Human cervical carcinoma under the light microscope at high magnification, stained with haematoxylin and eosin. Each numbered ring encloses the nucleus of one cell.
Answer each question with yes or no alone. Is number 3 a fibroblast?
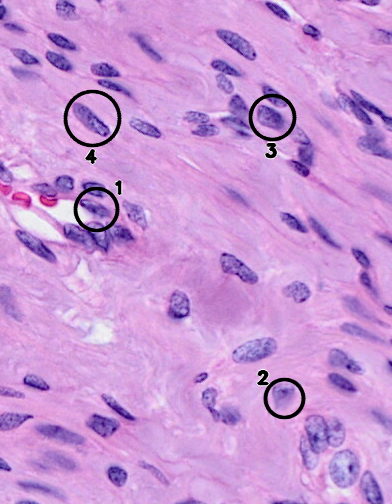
yes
